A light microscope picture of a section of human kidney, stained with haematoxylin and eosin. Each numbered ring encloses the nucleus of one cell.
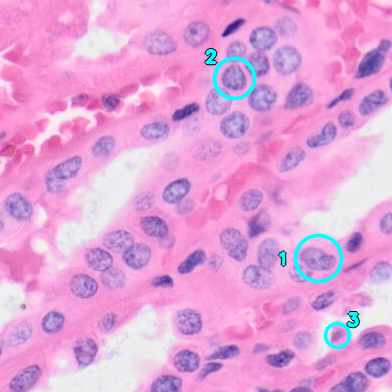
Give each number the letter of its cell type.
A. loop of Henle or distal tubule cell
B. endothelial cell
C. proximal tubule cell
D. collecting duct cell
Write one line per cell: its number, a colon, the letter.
1: D
2: D
3: A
